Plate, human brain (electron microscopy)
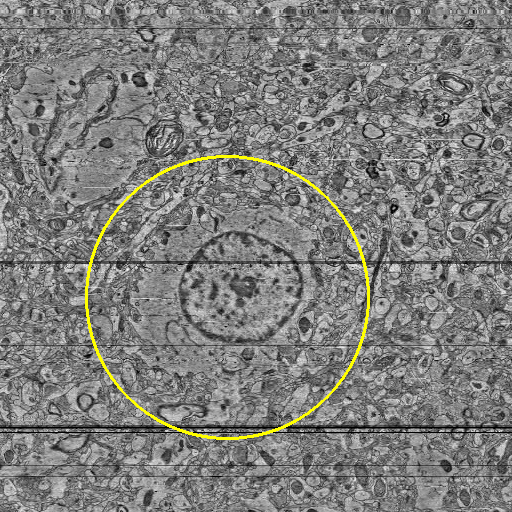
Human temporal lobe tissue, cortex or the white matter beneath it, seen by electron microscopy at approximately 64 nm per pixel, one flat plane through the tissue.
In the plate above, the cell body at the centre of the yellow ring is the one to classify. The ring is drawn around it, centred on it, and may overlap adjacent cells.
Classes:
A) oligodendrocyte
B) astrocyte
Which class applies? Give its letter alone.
B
